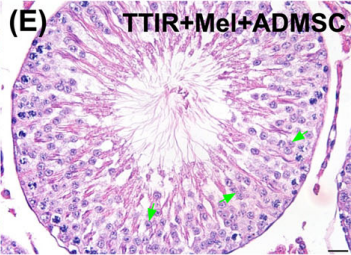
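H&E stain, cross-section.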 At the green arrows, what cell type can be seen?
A: Sertoli cells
